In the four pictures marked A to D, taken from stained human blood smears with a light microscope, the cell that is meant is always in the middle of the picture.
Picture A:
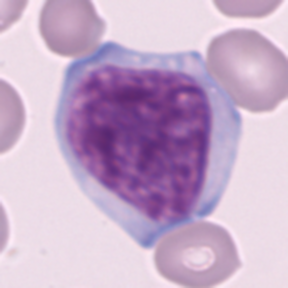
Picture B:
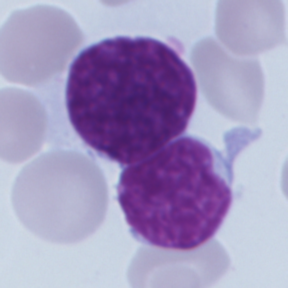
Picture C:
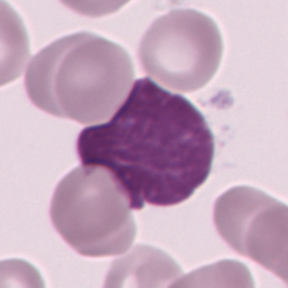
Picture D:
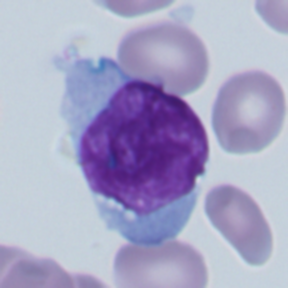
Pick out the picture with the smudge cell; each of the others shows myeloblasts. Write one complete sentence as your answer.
It is picture C that shows the smudge cell.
